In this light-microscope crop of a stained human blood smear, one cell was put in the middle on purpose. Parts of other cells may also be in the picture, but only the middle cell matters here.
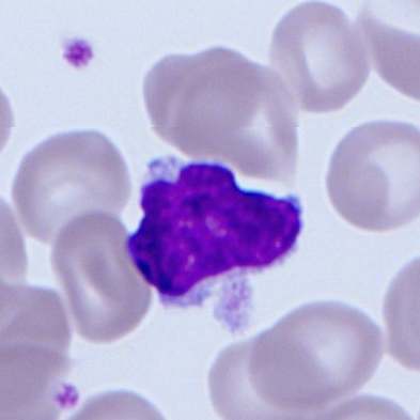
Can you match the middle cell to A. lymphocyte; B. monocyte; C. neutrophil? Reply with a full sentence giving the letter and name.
The cell at the centre, correctly named in option A, is a lymphocyte.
